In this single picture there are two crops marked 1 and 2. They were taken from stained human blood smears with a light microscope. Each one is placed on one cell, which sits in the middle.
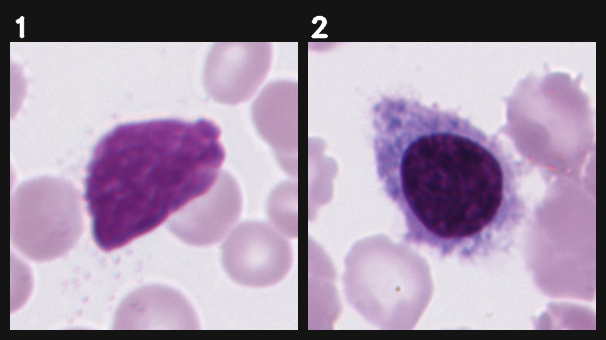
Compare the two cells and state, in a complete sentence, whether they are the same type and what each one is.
No, it is crop 1 that shows a smudge cell, and crop 2 that shows a hairy cell.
